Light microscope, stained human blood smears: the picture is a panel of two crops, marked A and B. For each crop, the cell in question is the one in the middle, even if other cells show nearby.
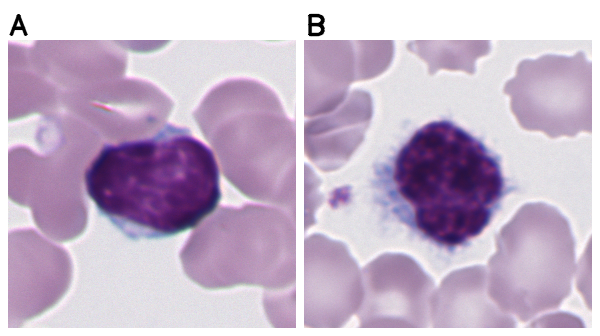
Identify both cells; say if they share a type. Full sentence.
No, crop A features a typical lymphocyte, while crop B features a hairy cell.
